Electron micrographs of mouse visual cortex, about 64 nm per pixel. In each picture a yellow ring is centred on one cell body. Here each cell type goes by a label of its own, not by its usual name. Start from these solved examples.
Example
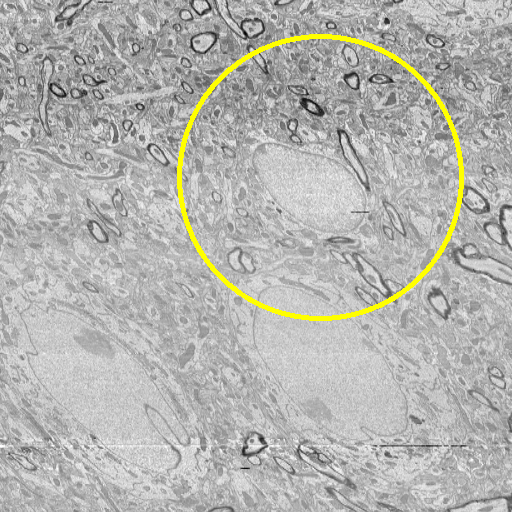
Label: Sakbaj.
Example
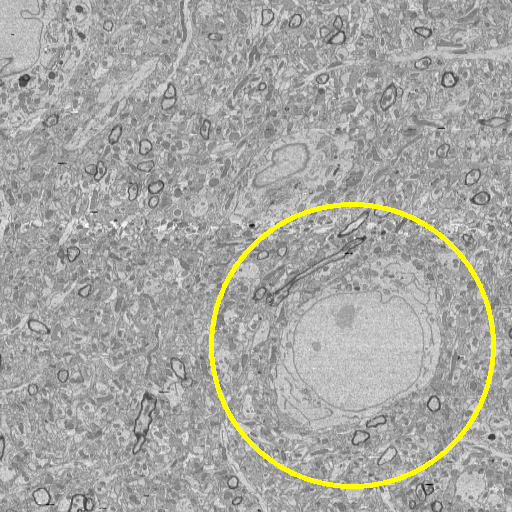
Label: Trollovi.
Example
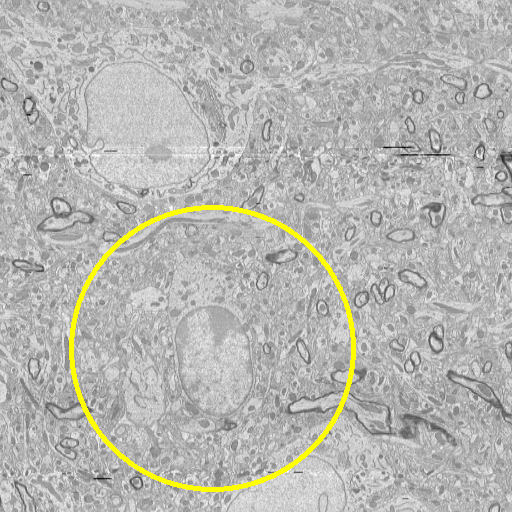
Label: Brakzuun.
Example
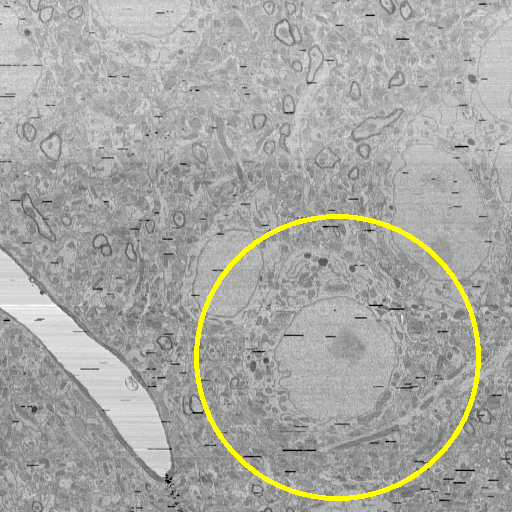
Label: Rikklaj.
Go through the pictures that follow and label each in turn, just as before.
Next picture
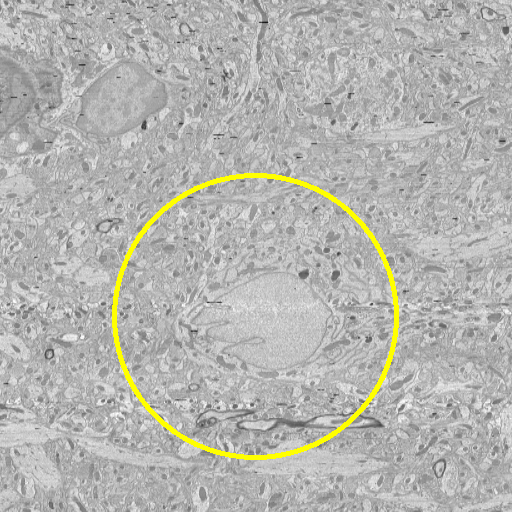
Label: Rikklaj.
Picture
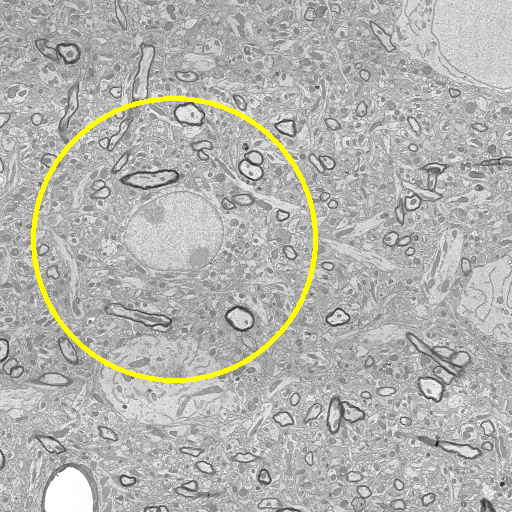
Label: Sakbaj.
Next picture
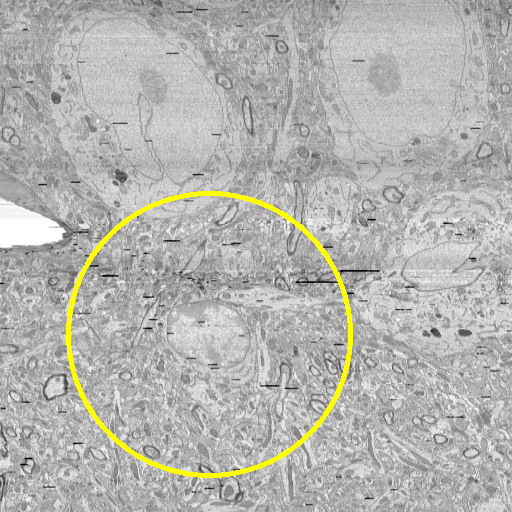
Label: Brakzuun.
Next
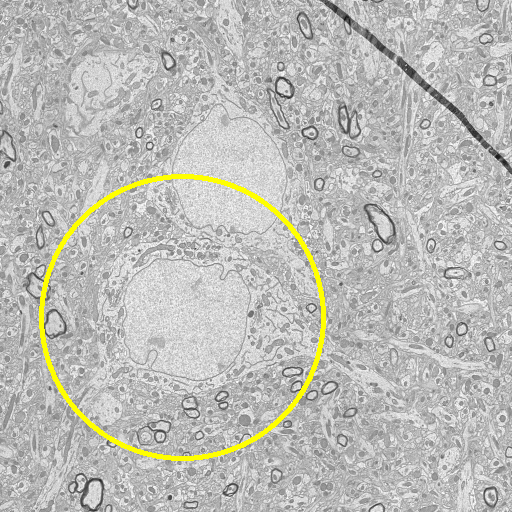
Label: Rikklaj.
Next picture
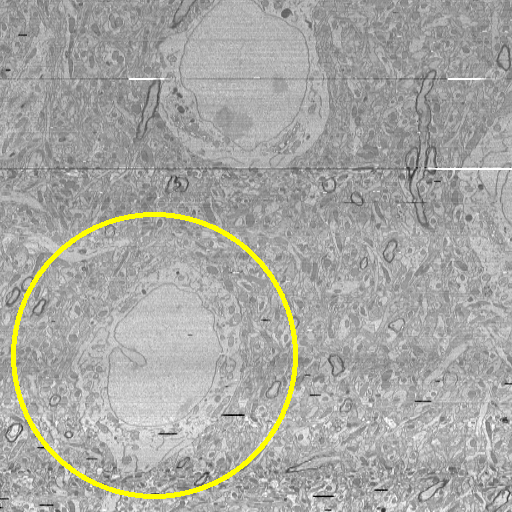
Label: Trollovi.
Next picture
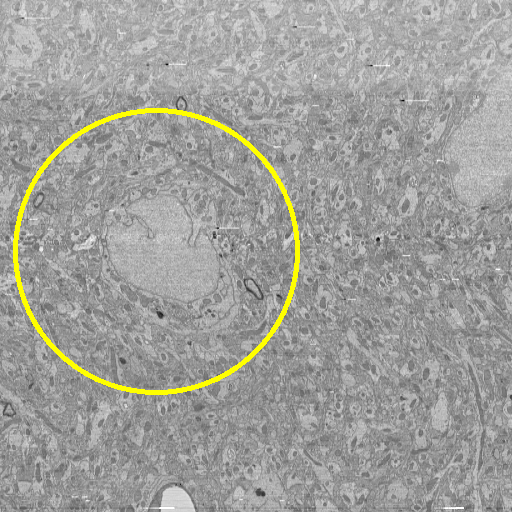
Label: Rikklaj.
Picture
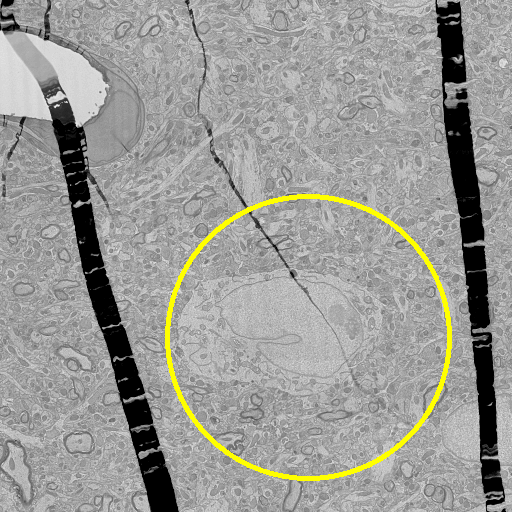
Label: Rikklaj.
